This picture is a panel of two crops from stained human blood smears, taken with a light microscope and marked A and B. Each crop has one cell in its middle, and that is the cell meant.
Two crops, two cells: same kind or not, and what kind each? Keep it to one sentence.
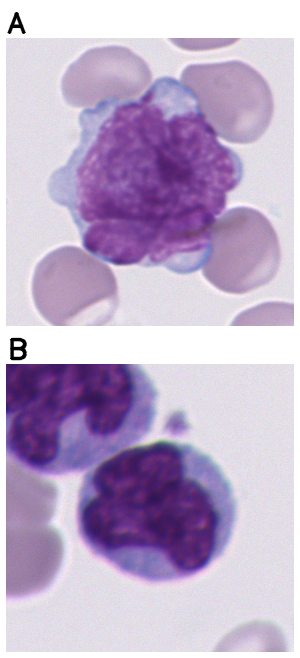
No, crop A carries a myeloblast at its centre, and crop B carries a monocyte.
